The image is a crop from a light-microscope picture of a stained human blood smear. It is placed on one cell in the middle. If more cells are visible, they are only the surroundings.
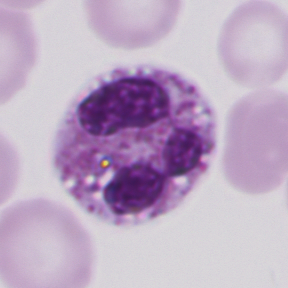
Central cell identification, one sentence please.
Among the cells in view, the one in the middle is an eosinophil.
